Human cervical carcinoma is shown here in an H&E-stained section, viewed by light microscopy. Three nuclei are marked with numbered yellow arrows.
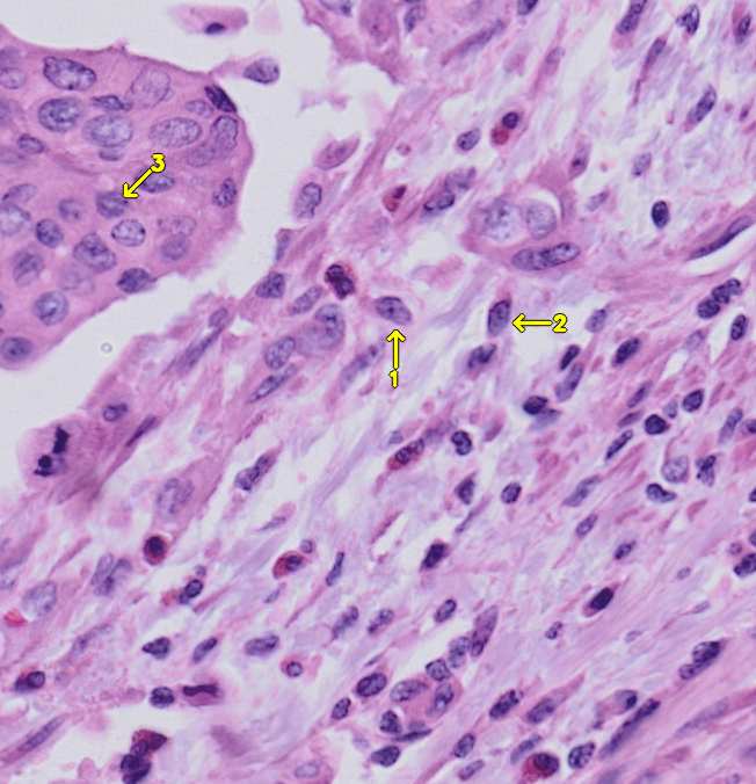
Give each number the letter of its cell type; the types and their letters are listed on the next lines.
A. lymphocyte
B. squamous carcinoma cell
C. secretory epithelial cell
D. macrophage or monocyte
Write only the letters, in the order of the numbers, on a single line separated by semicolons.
D; D; B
